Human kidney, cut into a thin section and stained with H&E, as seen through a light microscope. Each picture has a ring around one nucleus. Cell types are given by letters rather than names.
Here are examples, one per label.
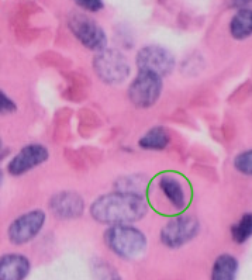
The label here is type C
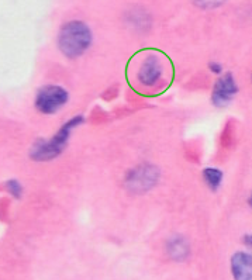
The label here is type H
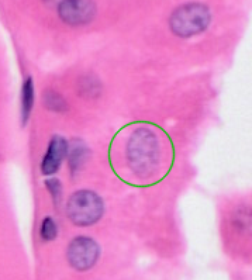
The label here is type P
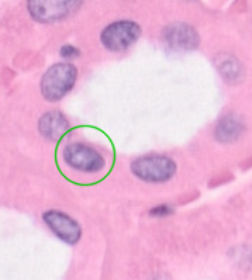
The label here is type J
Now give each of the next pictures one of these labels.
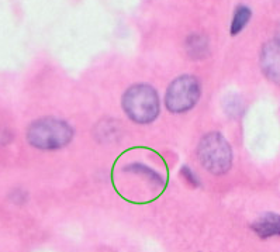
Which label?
type H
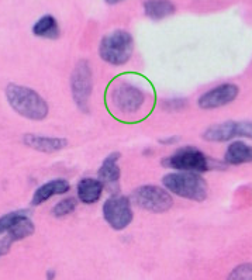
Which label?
type J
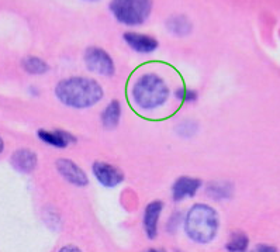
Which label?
type C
